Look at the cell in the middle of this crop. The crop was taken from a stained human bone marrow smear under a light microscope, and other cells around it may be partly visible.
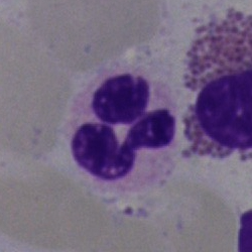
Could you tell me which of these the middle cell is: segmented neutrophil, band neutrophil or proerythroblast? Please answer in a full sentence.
Classified as a segmented neutrophil is the cell in the middle of this crop.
